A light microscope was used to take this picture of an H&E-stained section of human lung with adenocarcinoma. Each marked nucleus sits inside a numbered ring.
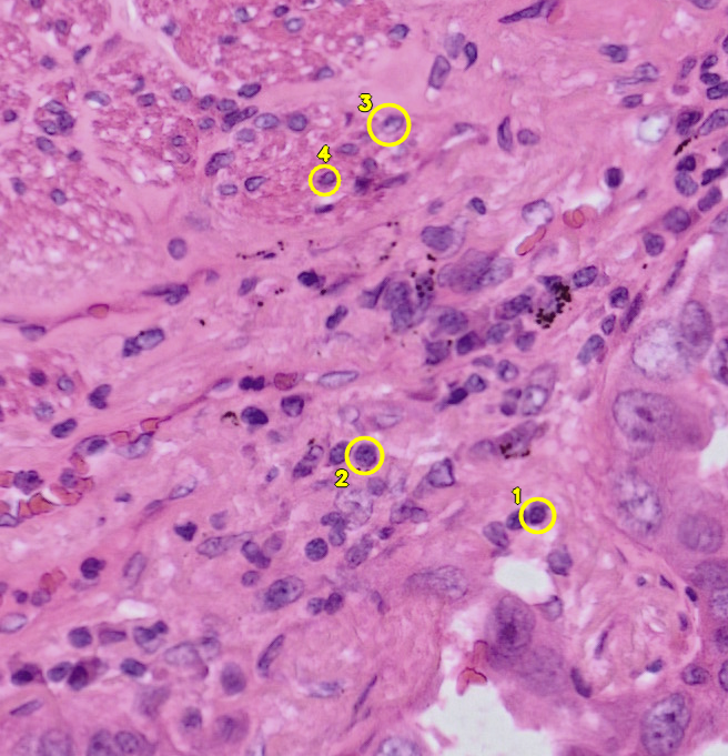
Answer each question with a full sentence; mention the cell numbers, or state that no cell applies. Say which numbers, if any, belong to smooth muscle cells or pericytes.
So, the cells with numbers 3 and 4 are smooth muscle cells or pericytes.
